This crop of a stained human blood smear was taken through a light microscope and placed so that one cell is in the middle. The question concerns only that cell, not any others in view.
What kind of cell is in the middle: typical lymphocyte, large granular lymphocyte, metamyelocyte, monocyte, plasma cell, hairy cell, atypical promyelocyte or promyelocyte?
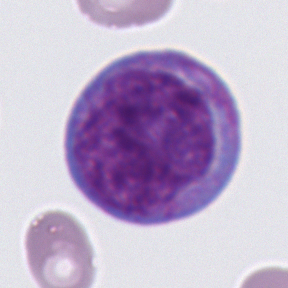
atypical promyelocyte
